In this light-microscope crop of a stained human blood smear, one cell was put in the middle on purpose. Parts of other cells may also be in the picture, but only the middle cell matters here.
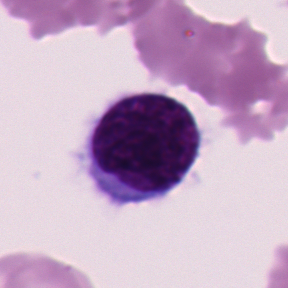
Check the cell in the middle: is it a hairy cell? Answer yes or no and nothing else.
yes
